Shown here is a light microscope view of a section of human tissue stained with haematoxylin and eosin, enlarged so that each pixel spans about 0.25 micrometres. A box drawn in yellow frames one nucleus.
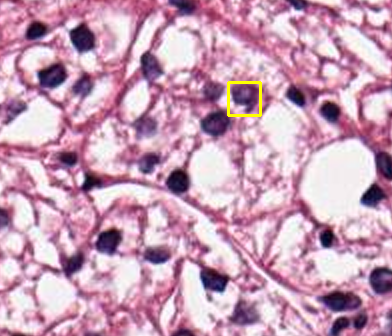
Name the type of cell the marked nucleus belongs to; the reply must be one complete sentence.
The mark in this picture falls on the nucleus of an adrenal cortical cell.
